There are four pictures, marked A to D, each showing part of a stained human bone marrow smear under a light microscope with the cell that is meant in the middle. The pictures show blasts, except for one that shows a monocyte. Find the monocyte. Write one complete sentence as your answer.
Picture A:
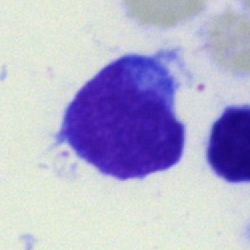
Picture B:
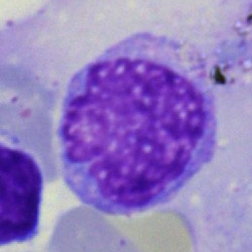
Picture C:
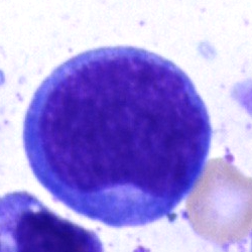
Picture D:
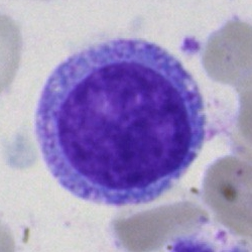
Picture B is the one that shows the monocyte.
